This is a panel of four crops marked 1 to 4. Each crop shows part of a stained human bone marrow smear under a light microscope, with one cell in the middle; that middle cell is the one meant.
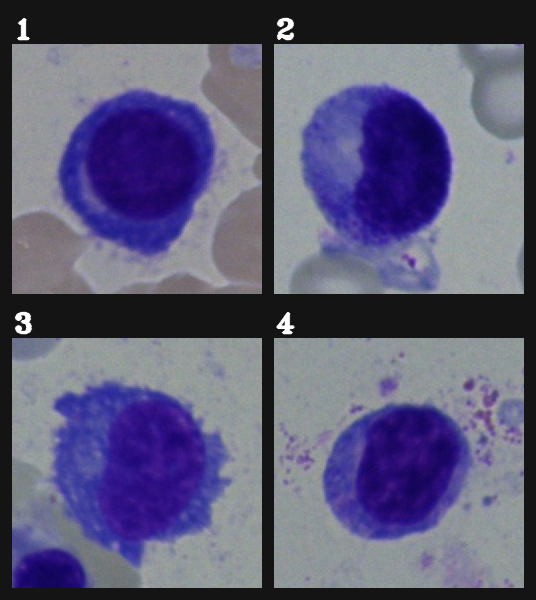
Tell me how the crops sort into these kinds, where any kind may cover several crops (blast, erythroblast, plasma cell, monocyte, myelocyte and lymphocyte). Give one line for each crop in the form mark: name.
1: plasma cell
2: myelocyte
3: plasma cell
4: monocyte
